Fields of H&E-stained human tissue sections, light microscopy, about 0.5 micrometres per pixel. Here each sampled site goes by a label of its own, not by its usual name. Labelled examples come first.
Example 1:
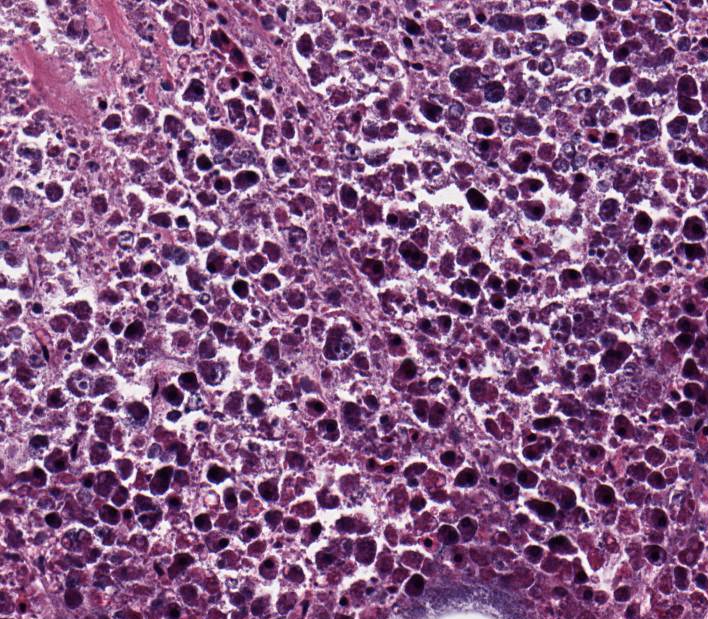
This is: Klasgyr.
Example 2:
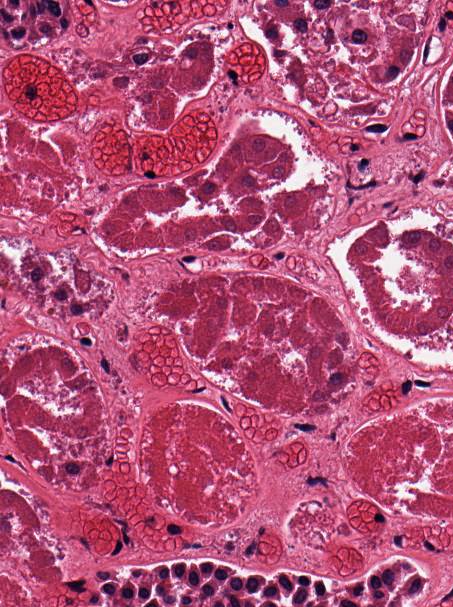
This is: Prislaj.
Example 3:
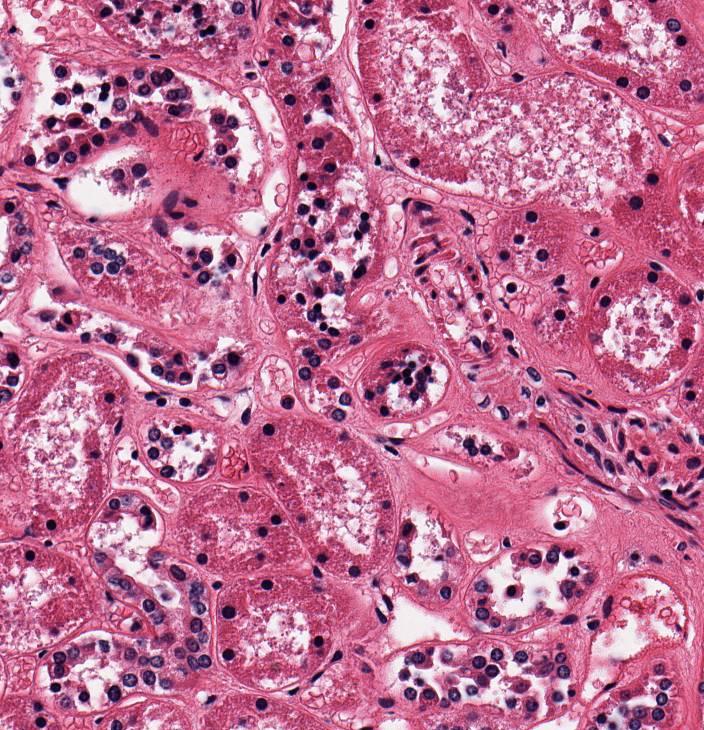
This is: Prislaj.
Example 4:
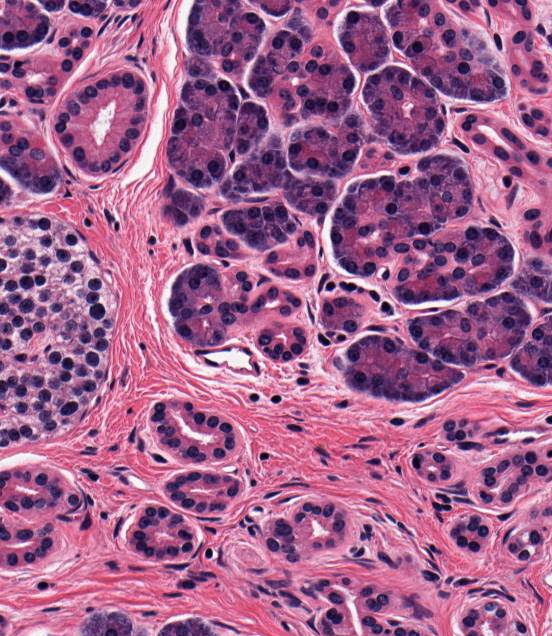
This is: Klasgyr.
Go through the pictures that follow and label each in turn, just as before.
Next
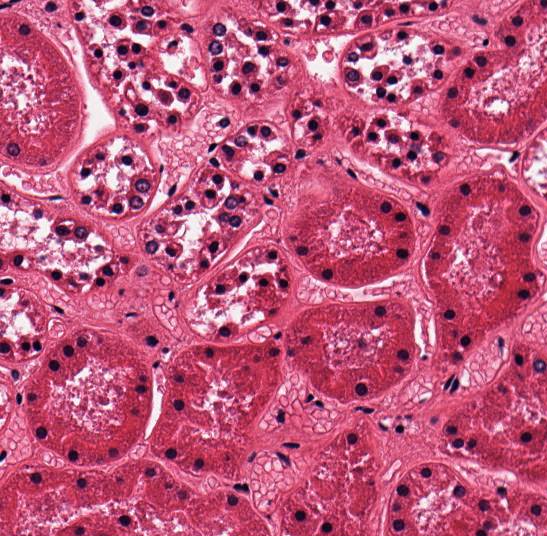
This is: Prislaj.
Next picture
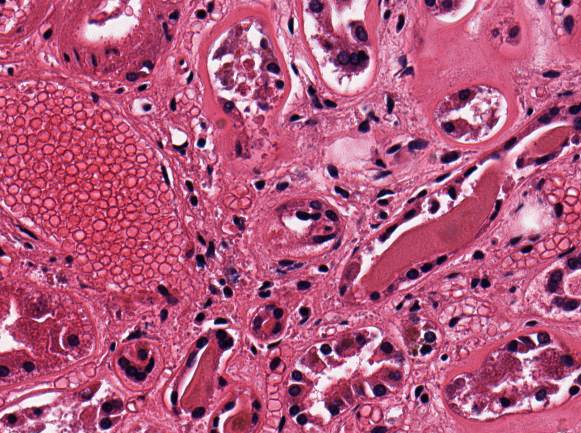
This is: Prislaj.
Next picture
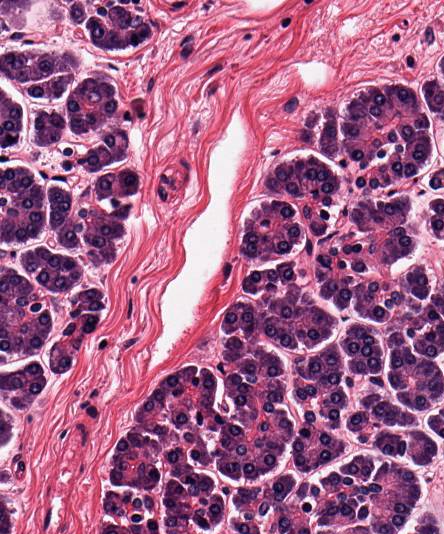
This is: Klasgyr.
